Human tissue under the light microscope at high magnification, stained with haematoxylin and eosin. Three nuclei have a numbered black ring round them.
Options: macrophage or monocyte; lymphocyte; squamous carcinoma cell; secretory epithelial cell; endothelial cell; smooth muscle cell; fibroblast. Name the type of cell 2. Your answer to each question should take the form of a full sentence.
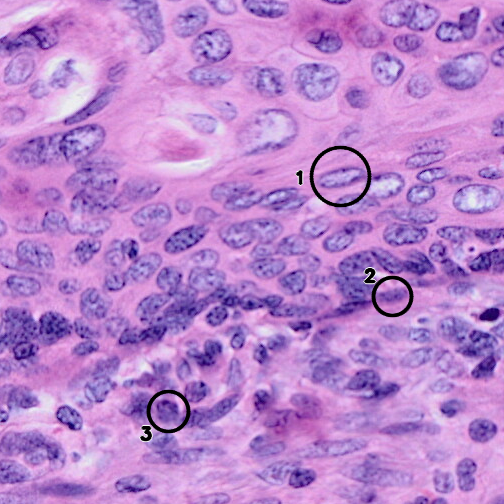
What the number 2 marks in this field is a squamous carcinoma cell.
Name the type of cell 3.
As for number 3, that cell is a lymphocyte.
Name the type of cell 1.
Regarding cell 1, this one is a squamous carcinoma cell.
